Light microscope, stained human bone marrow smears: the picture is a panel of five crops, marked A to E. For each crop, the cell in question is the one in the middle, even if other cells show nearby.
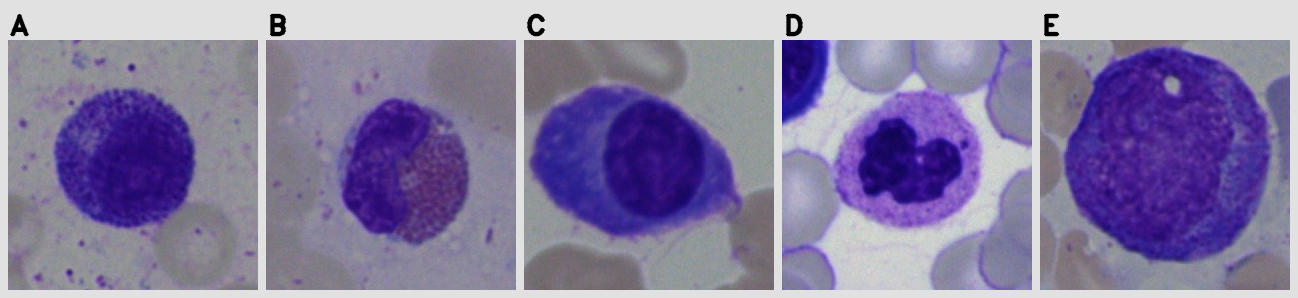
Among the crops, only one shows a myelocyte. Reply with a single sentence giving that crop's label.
Of the crops given, a myelocyte is found in crop A.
